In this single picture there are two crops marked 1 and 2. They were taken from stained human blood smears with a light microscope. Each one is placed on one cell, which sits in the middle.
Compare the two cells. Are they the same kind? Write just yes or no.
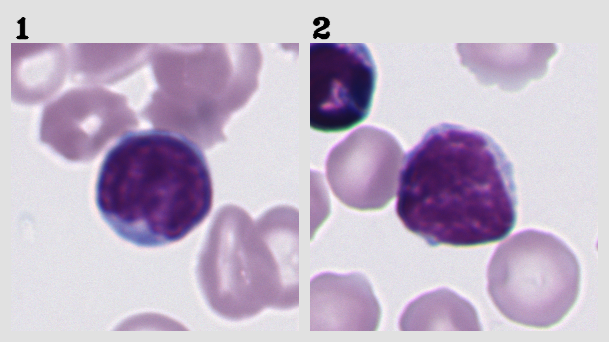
yes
